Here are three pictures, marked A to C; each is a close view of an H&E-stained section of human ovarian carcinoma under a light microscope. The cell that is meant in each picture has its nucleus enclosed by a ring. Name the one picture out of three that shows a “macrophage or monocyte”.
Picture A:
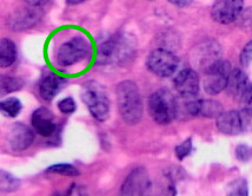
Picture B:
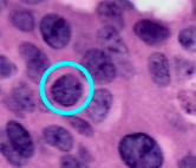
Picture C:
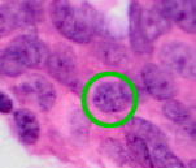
C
